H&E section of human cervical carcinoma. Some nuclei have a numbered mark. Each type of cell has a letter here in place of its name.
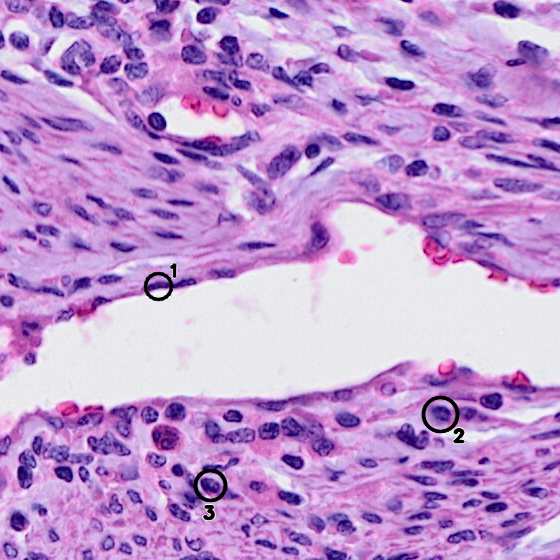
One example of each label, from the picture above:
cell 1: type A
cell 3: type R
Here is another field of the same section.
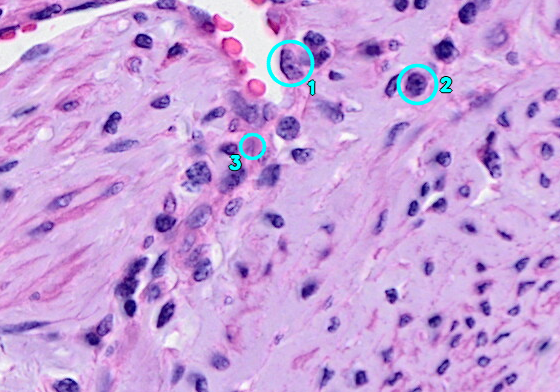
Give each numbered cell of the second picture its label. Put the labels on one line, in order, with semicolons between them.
type A; type R; type A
